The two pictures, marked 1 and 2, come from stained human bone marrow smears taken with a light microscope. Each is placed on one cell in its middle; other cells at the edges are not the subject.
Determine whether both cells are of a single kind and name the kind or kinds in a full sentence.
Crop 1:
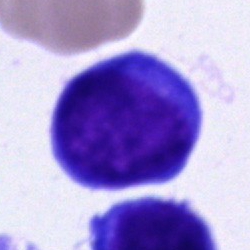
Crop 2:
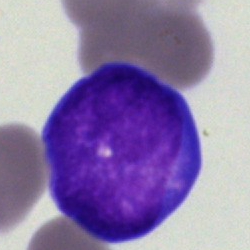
Yes, they do, both crops show blasts.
